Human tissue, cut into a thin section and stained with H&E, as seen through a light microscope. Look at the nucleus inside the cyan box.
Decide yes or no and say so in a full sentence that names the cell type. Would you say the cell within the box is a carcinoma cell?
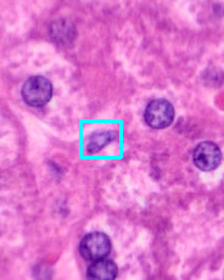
No, the cell within the box is a Kupffer cell in this section, not a carcinoma cell.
